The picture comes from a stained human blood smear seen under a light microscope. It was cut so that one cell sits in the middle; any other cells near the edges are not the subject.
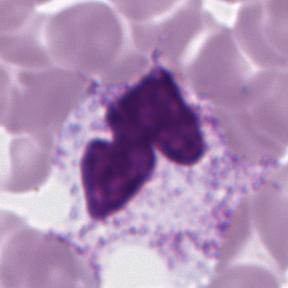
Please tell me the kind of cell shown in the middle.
neutrophil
